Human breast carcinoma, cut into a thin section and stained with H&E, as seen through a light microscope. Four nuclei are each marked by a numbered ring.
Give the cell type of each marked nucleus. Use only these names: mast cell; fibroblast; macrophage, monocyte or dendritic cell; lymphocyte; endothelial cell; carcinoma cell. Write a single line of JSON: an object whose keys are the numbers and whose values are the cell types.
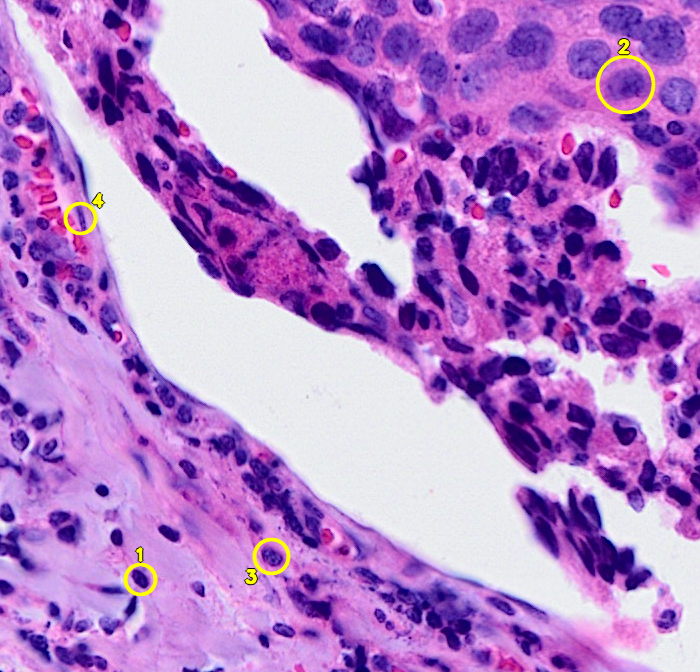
{"1": "lymphocyte", "2": "carcinoma cell", "3": "mast cell", "4": "endothelial cell"}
